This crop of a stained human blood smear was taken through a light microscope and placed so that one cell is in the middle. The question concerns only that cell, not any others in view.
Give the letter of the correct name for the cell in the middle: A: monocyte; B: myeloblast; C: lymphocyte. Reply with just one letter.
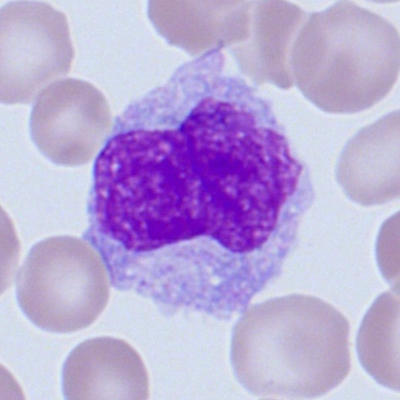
A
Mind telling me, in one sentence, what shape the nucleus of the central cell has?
Two or more lobes make up the nucleus of this cell.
